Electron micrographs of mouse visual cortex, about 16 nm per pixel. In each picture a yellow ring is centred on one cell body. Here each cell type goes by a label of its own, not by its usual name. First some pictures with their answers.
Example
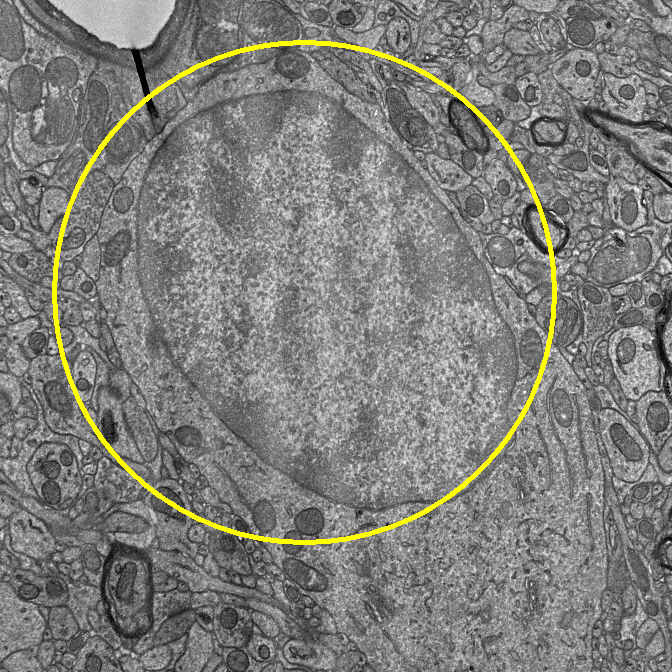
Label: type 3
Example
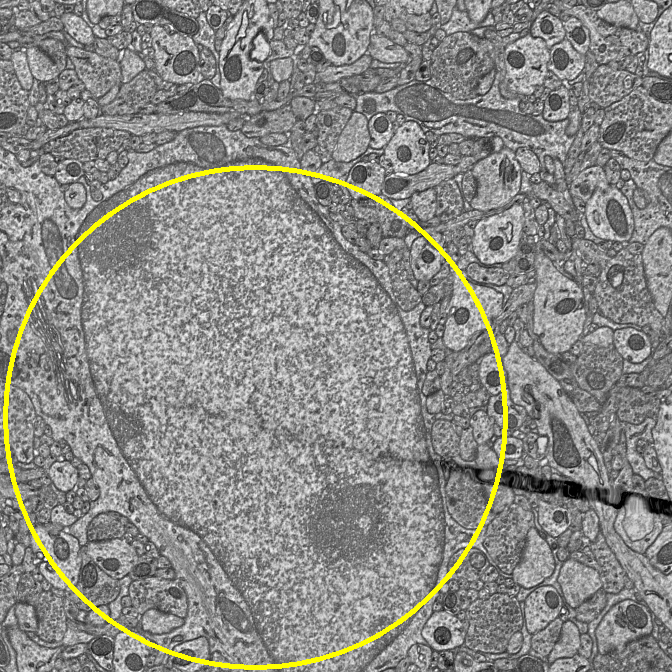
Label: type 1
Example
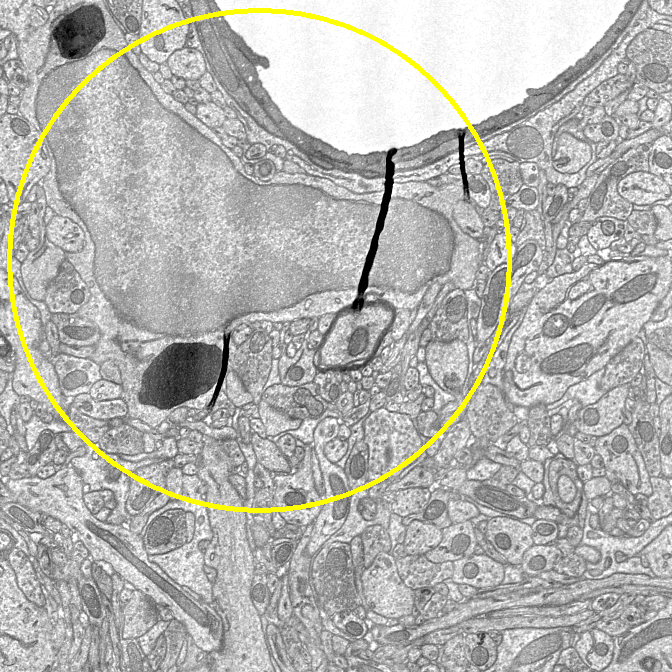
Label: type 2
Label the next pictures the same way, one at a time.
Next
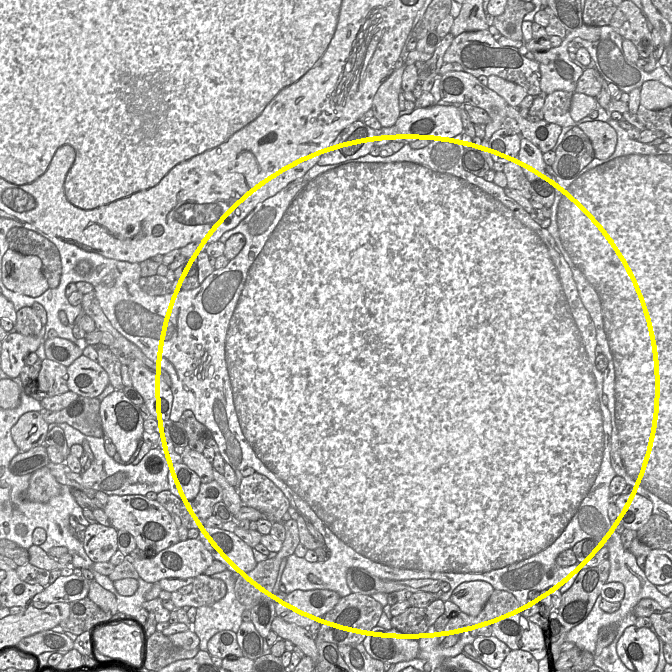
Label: type 1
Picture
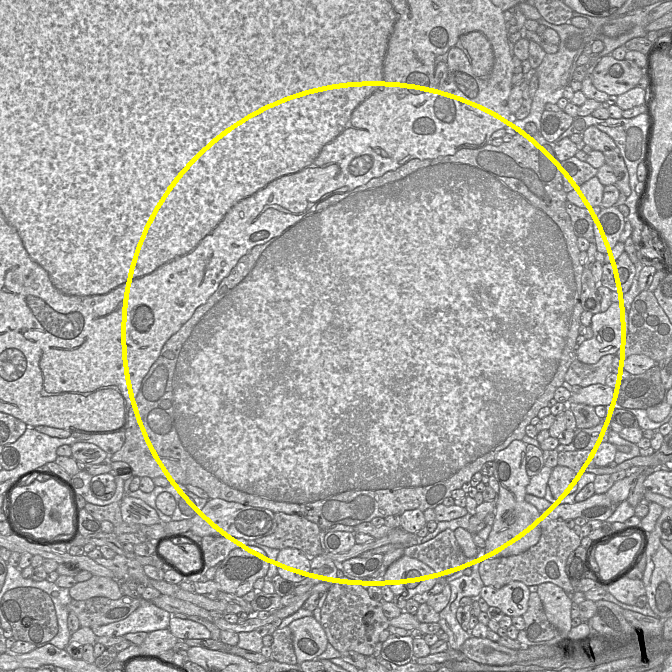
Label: type 3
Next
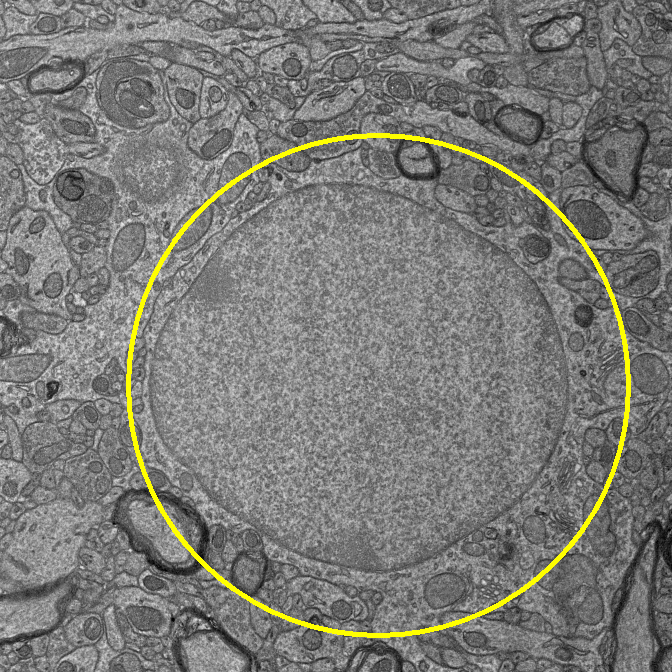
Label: type 1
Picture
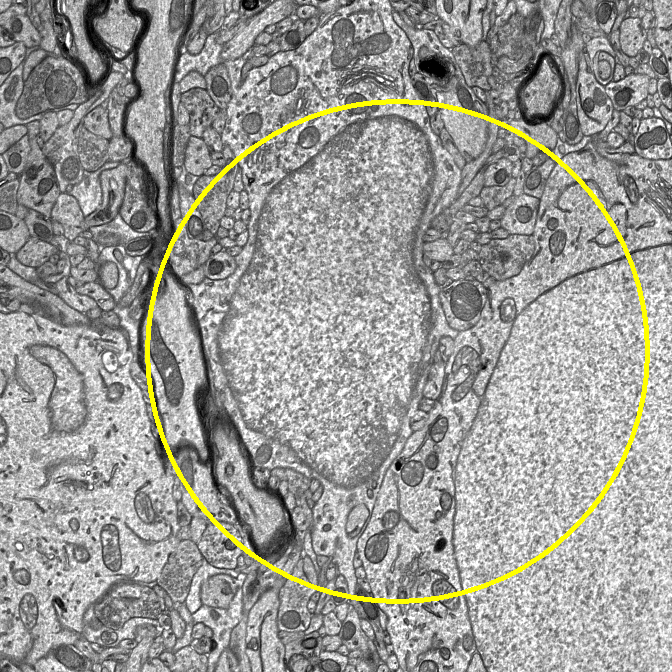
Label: type 1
